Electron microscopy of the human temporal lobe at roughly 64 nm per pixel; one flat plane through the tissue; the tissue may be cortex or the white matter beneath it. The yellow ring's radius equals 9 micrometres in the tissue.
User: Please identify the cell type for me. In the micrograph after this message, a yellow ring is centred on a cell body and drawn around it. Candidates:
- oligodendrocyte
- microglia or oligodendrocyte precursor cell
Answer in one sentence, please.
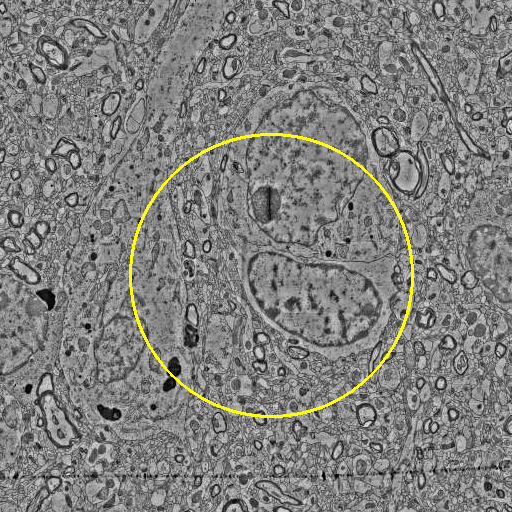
The ring is drawn around the cell body of a microglial cell or oligodendrocyte precursor cell.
